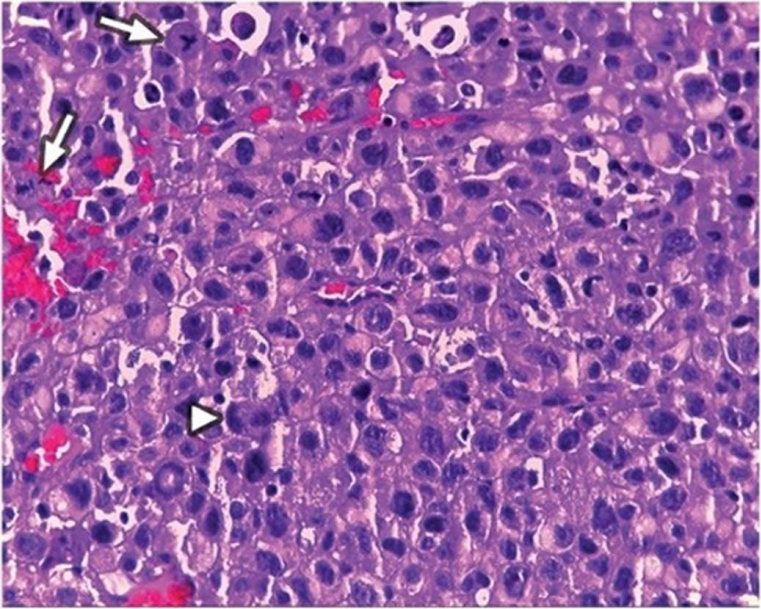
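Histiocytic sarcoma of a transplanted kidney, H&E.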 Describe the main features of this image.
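This is a sheet of large, loosely cohesive tumour cells that have replaced the normal tissue, with no tubules or glomeruli to be seen. The cells vary in size and shape and have ample pale pink to purple cytoplasm, often with clear borders. Their nuclei are large, round to oval or irregular, some with visible nucleoli, and a few cells show dark condensed chromatin of dividing cells. Small clefts separate the cells, and patches of red blood cells lie mainly toward the left side.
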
